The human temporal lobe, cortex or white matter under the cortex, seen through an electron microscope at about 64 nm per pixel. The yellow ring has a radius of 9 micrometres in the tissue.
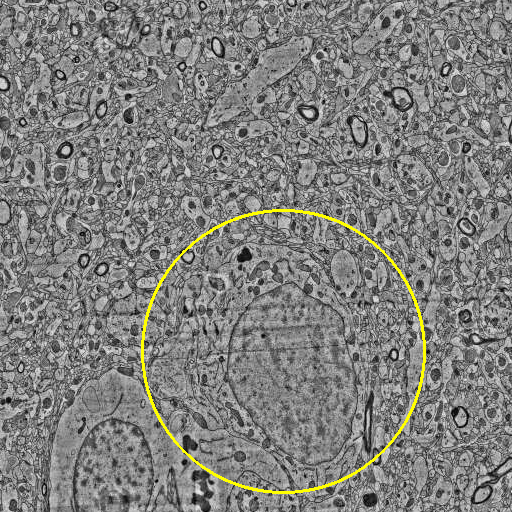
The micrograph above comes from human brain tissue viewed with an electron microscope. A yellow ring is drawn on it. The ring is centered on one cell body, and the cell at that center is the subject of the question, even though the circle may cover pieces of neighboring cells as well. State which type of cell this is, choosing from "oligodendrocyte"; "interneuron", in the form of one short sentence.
The cell the ring is centered on is an interneuron.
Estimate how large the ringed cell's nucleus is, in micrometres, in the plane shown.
About 12 by 8 micrometres in this plane.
